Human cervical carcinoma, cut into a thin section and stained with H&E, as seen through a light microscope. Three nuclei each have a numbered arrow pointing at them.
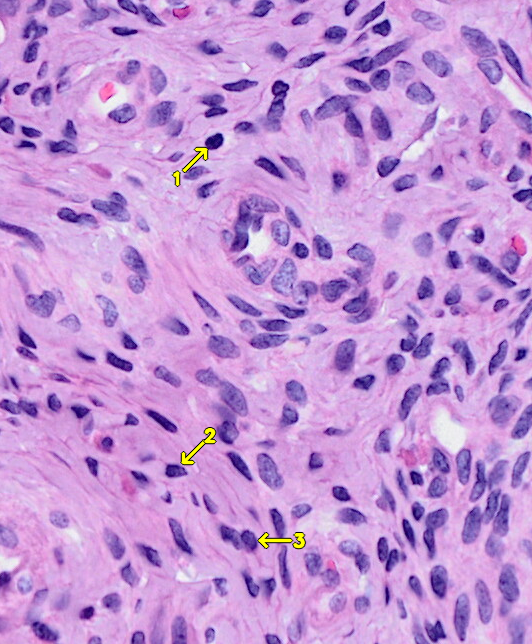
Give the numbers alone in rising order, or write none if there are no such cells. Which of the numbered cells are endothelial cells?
none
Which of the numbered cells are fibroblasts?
2, 3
